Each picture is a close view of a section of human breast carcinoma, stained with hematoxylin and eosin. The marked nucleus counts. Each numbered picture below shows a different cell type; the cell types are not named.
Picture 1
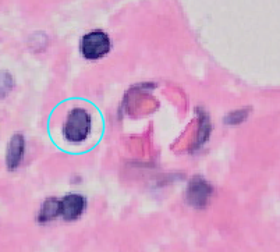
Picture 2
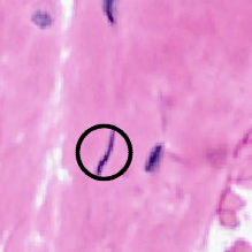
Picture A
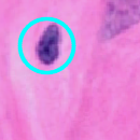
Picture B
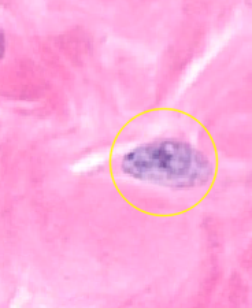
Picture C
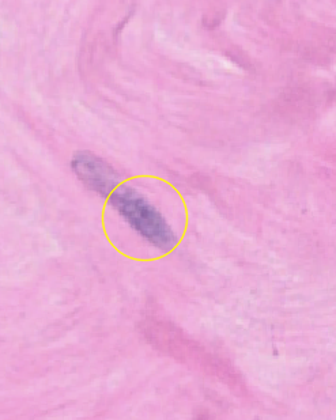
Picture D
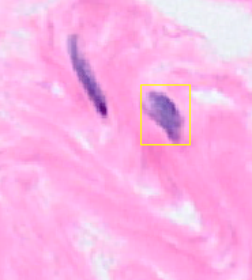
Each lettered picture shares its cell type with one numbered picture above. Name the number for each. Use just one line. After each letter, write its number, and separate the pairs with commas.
A 1, B 2, C 2, D 2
